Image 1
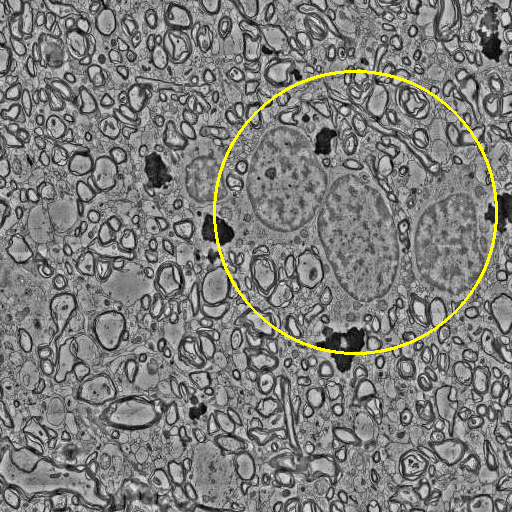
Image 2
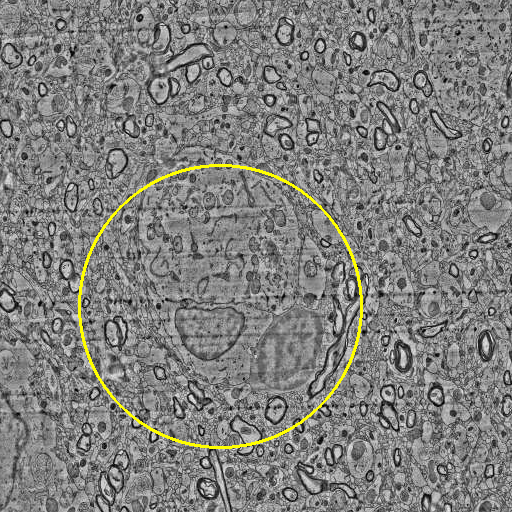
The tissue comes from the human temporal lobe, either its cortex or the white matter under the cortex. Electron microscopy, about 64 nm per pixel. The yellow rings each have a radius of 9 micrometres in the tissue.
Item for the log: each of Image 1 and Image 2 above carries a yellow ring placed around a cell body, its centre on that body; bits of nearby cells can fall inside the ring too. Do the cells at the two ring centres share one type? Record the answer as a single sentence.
No, the two cells at the ring centres in Image 1 and Image 2 are of two types.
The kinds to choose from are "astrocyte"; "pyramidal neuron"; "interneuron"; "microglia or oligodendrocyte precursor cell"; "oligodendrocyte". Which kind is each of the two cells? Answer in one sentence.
Of the two, the first cell is an oligodendrocyte and the second cell is a microglial cell or oligodendrocyte precursor cell.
